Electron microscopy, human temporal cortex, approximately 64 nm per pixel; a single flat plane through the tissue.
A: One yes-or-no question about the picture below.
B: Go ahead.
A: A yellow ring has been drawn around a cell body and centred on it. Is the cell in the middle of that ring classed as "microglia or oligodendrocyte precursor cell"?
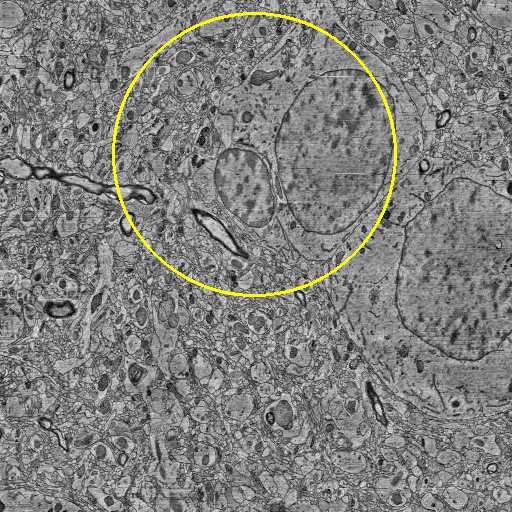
Yes, it is classed that way.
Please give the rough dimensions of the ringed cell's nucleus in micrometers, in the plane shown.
Approximately 6 micrometres long and 4 micrometres wide, so clearly longer than it is wide in this plane.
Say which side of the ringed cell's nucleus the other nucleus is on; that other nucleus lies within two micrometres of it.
The other nucleus is located to the right of it.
